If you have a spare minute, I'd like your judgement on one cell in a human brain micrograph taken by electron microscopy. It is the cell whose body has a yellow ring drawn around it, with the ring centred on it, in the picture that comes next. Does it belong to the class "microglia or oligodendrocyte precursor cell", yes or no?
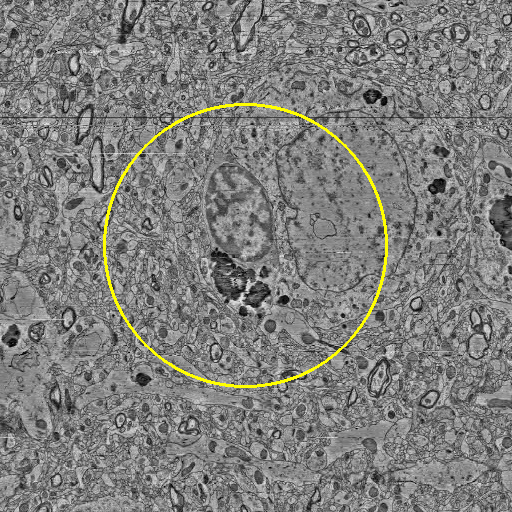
No, it belongs to another class.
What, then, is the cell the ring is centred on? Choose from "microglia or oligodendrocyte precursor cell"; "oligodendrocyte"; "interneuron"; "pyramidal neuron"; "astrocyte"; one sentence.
The cell this ring marks is an oligodendrocyte.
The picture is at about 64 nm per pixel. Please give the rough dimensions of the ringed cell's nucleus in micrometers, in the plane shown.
In this plane the nucleus is roughly 7 by 4 micrometres, clearly longer than it is wide.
